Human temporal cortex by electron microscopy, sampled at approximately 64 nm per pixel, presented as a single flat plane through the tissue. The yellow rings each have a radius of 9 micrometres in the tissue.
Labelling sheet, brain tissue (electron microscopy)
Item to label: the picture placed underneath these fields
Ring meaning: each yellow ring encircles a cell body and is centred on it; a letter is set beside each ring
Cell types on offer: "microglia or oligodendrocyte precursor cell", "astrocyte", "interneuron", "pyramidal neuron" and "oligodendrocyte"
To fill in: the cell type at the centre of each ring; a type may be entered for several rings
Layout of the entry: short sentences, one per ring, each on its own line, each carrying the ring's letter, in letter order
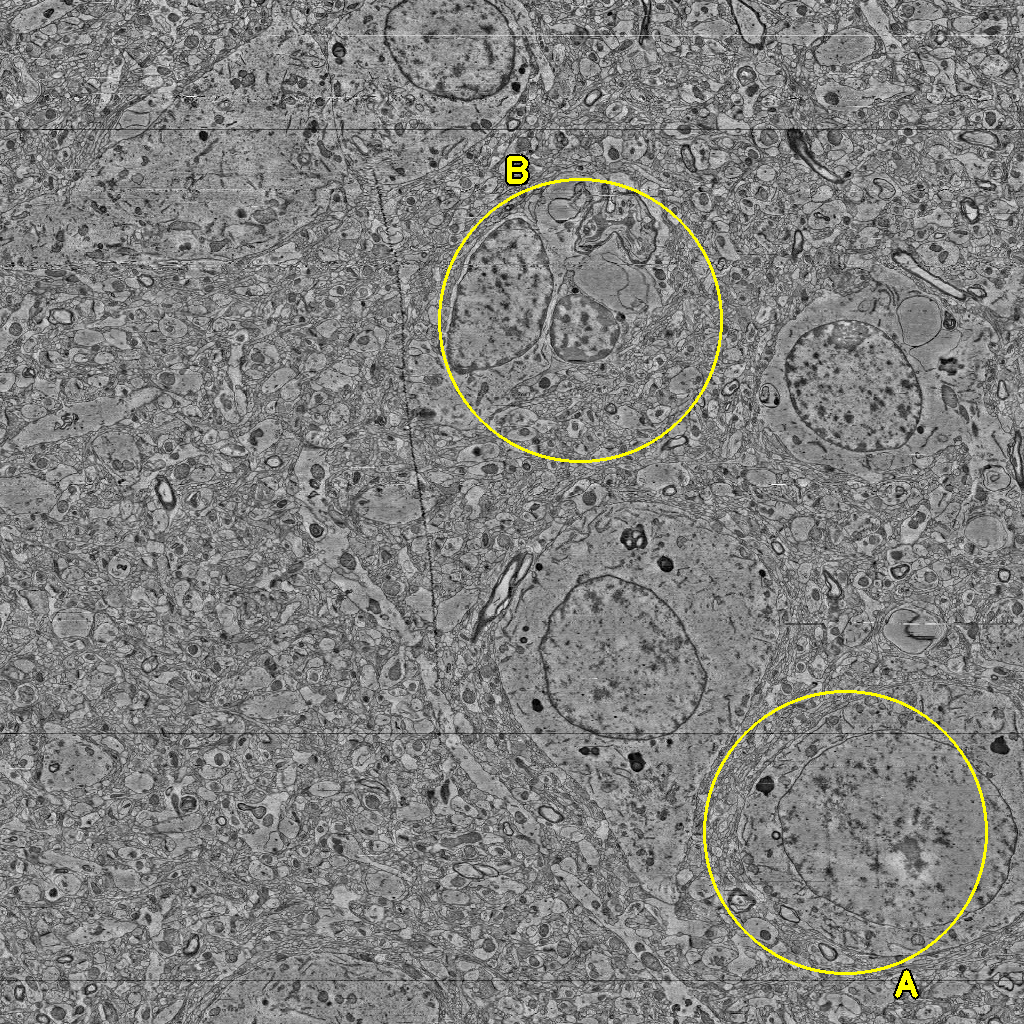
Ring A encircles the body of a pyramidal neuron.
Ring B encircles the body of a microglial cell or oligodendrocyte precursor cell.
